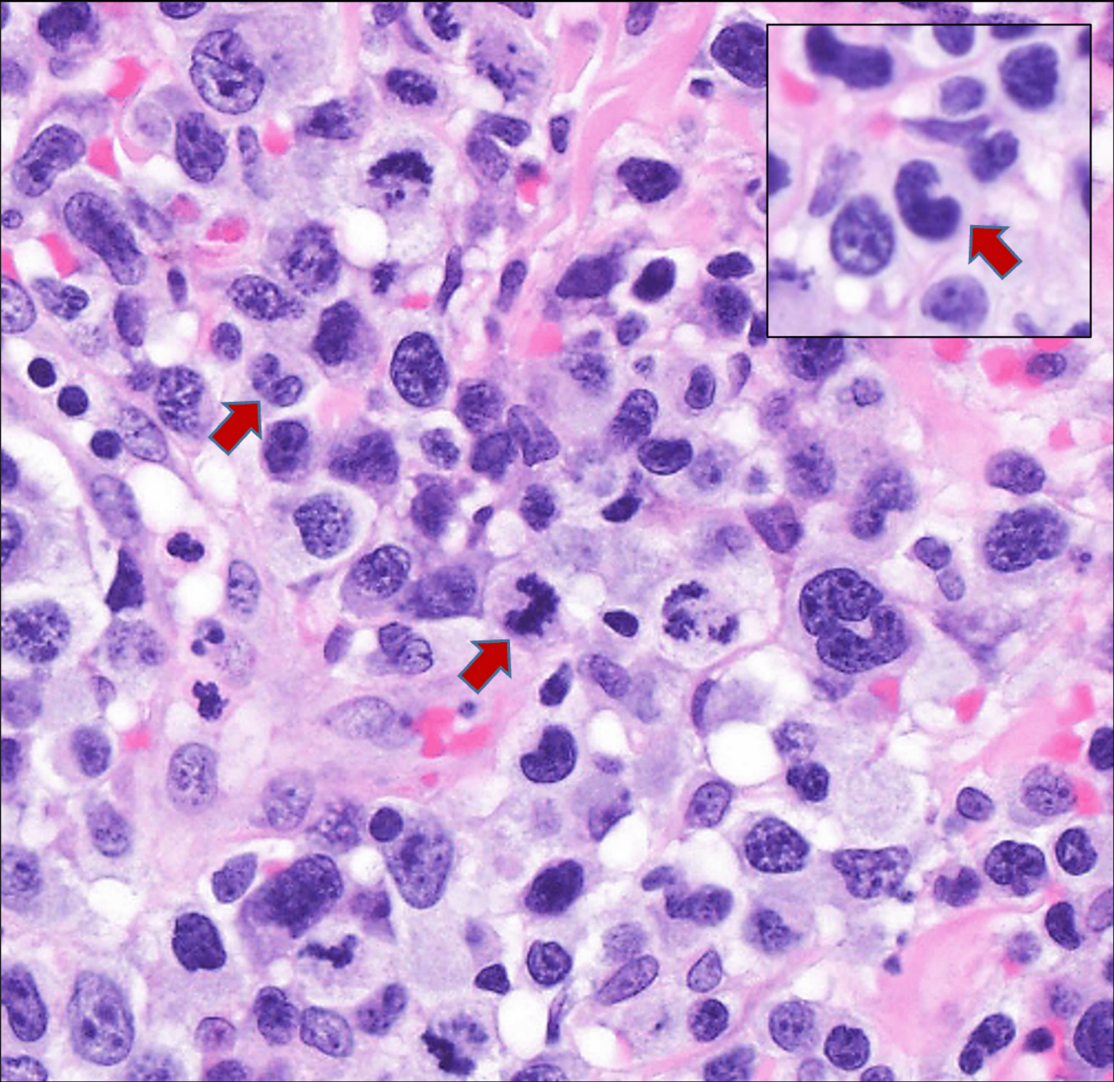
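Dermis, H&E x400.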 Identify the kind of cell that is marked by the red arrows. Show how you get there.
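The cell marked in the inset has a large kidney- or horseshoe-shaped nucleus. So: “hallmark” cells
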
